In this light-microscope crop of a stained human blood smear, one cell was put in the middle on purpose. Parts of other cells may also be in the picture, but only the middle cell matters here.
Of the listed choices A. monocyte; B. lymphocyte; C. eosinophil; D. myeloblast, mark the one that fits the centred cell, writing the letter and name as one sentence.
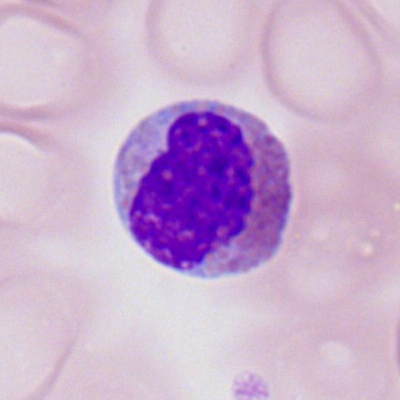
Located in the middle of the crop is an eosinophil, and option C is therefore correct.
